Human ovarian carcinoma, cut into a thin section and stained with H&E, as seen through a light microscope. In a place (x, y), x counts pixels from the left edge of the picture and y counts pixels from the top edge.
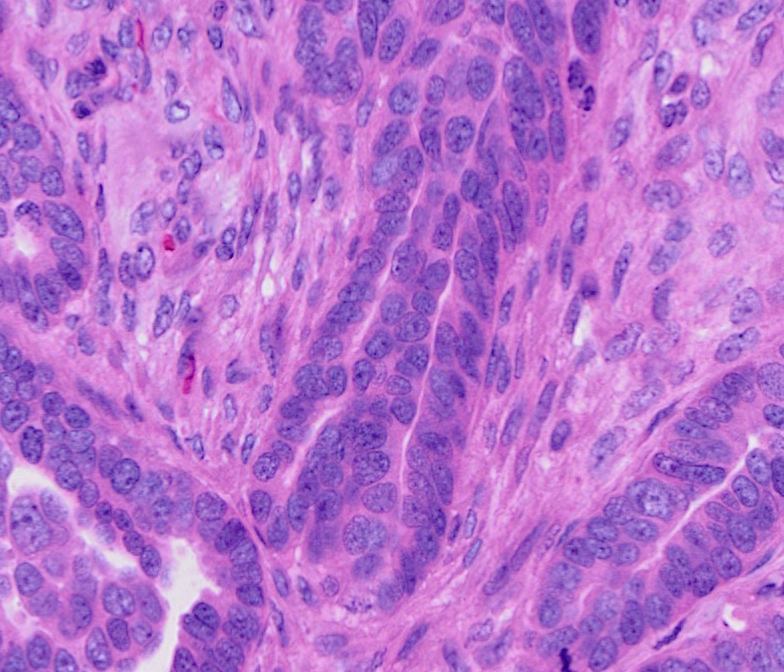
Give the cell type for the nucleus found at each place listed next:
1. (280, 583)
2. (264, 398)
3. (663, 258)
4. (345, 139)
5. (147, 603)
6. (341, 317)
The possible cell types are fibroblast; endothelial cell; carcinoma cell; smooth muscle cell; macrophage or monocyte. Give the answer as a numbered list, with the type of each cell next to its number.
1. fibroblast
2. fibroblast
3. fibroblast
4. fibroblast
5. carcinoma cell
6. carcinoma cell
